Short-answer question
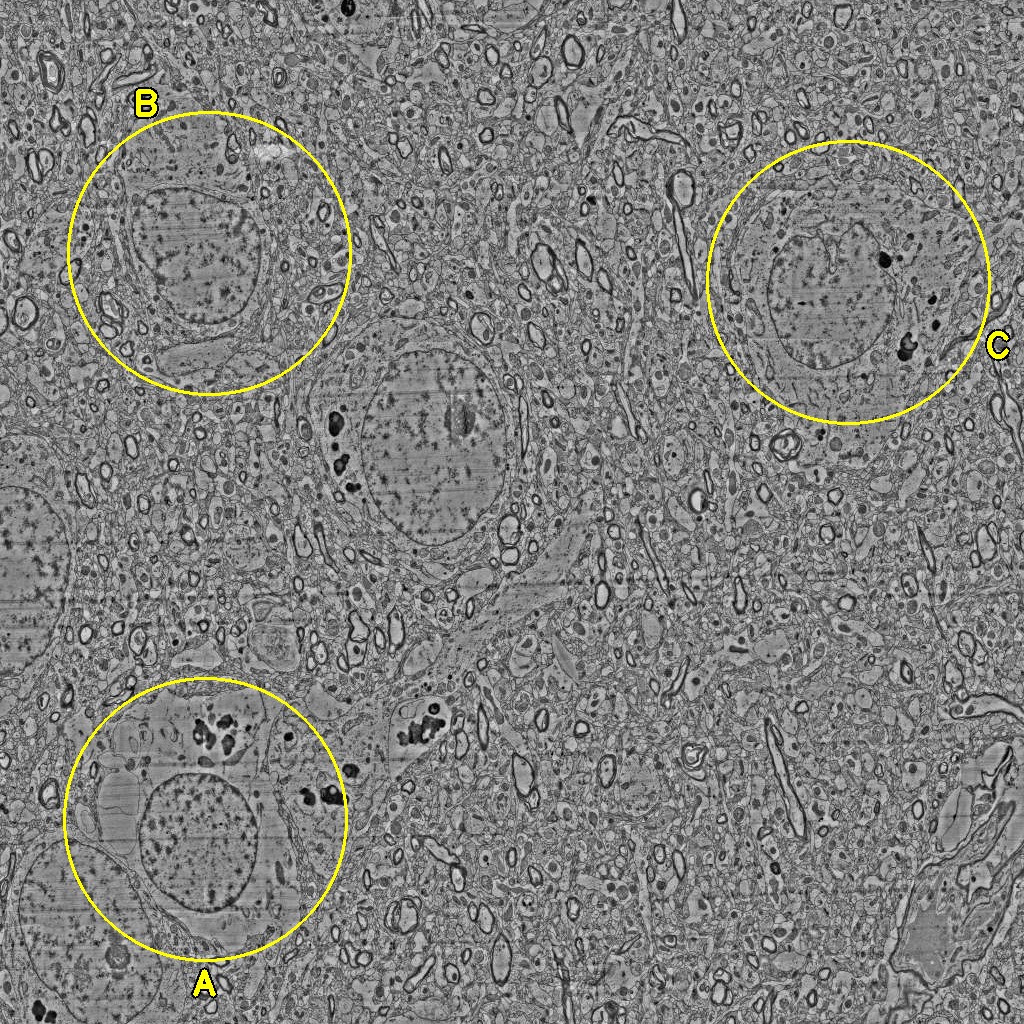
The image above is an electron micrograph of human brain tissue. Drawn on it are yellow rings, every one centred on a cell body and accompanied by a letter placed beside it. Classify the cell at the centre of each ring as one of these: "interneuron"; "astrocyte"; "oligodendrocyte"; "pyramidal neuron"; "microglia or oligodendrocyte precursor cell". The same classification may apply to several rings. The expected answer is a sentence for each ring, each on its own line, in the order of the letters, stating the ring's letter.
The cell at ring A is classified as an astrocyte.
The cell at ring B is classified as an interneuron.
The cell at ring C is classified as a pyramidal neuron.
